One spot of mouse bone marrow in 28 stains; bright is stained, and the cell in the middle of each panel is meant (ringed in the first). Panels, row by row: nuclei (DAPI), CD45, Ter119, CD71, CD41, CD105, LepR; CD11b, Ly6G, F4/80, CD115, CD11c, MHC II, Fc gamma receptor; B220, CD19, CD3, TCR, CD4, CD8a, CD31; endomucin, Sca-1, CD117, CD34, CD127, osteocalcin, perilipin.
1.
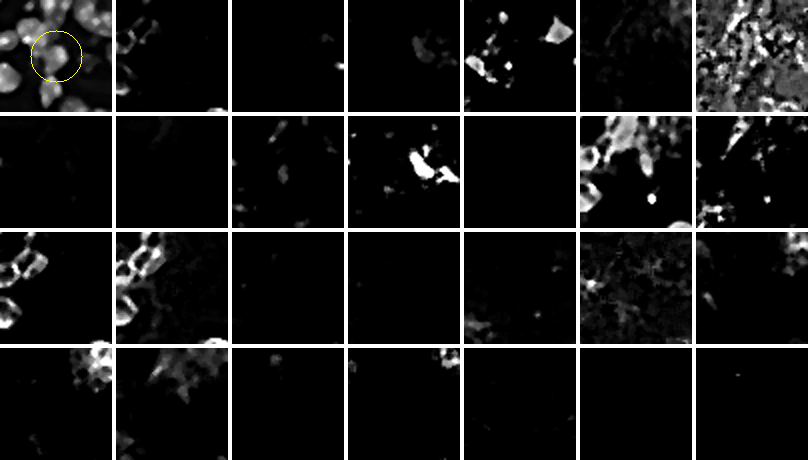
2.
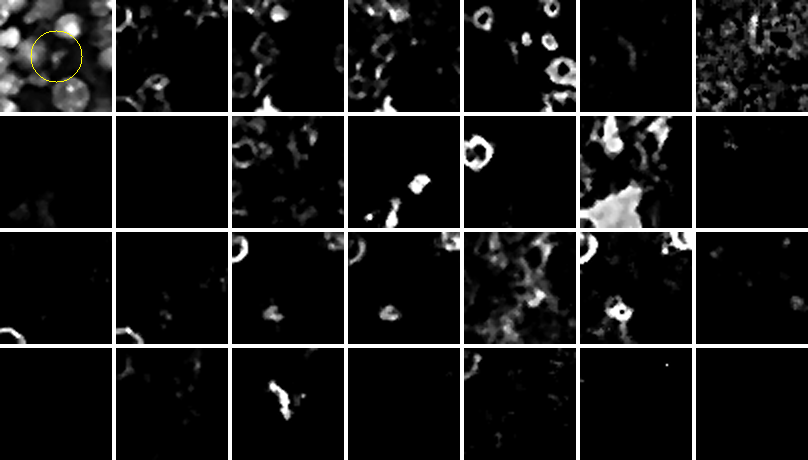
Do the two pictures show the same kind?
No: a LepR-positive perivascular cell, then a megakaryocyte-erythroid progenitor.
